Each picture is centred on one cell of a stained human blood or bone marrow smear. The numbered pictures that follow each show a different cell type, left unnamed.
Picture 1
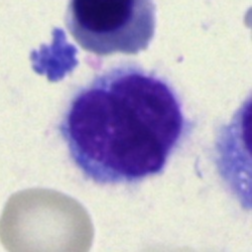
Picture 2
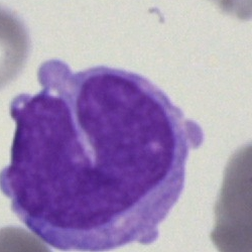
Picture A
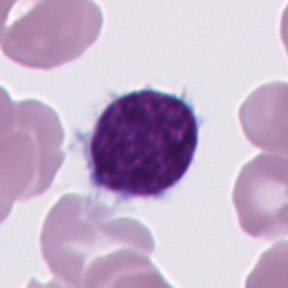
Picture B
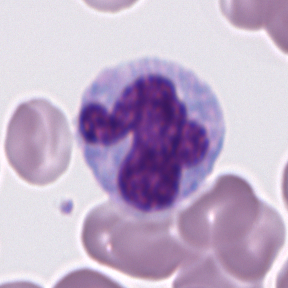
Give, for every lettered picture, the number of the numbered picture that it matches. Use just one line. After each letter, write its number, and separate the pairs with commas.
A 1, B 2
